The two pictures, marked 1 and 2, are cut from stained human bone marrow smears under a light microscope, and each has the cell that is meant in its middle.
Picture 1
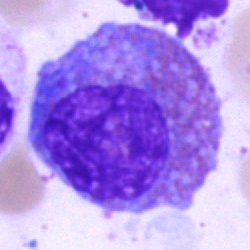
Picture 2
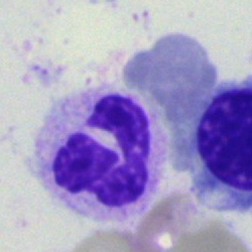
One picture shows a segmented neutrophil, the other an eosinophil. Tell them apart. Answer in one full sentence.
The cell in picture 1 is an eosinophil, and the one in picture 2 is a segmented neutrophil.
